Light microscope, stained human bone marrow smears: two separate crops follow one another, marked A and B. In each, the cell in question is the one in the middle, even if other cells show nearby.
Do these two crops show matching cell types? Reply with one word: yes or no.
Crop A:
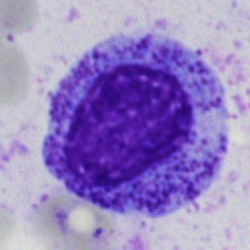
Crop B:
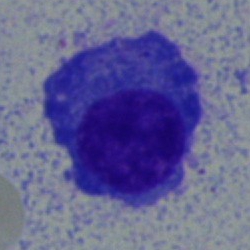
no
